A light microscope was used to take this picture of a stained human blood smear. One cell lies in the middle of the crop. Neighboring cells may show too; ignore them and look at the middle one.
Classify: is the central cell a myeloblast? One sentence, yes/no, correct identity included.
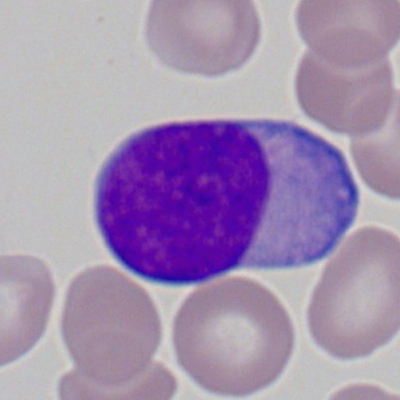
Yes, in the middle of the crop is a myeloblast.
